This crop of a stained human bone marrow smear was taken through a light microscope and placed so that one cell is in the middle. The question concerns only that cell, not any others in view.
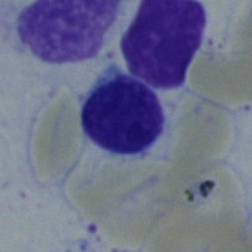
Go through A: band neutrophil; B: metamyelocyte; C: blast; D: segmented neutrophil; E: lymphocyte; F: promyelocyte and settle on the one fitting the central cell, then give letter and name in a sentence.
In the centre of the crop there is a lymphocyte, making option E correct.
